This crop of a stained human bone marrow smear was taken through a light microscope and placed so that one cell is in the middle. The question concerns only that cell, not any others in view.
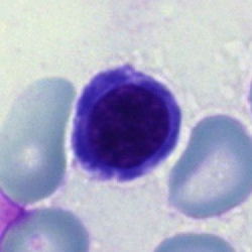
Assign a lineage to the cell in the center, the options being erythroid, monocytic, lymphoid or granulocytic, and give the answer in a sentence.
That the central cell belongs to the erythroid lineage is the finding here.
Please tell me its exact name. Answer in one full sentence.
The cell centered in this field of view is an erythroblast.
